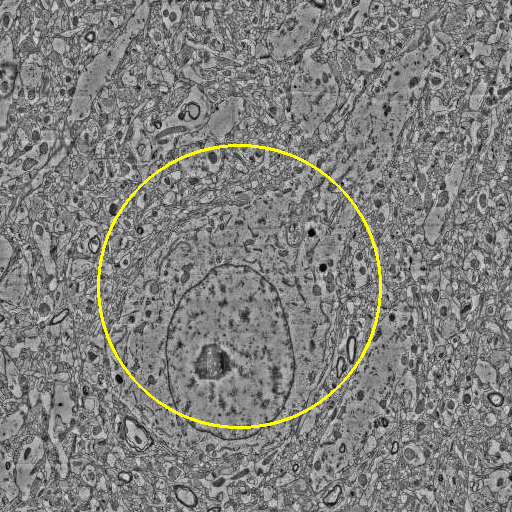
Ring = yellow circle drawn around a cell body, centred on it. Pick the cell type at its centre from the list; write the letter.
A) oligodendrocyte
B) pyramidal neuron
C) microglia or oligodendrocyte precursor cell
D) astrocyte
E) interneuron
B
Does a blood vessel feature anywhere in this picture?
No, none appears.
